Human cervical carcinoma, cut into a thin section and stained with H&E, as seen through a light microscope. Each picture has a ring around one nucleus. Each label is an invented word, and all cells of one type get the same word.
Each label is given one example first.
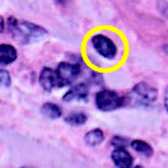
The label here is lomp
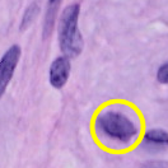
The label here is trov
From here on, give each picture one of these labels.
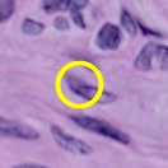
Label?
trov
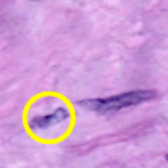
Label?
trov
